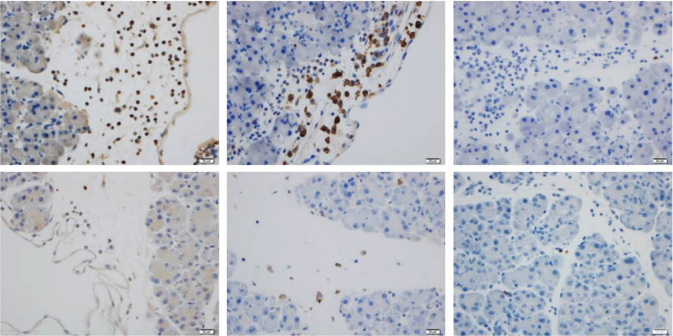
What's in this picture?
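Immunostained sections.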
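Six fields of pancreatic tissue with acini of blue-counterstained acinar cells and looser interstitial tissue between lobules. In the upper left field many small round brown-stained cells crowd the loose interstitial tissue beside the acini, while the lower left field has only a few. In the upper middle field larger brown-stained cells gather in a band along the interstitium, with few in the lower middle field. The right column shows acini and interstitial nuclei with little or no brown staining.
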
